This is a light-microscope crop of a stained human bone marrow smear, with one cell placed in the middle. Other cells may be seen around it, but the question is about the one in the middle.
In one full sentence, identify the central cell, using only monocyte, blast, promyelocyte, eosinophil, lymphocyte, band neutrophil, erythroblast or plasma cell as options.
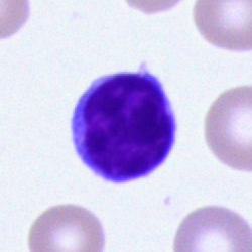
The cell shown in the center of this light-microscope crop is a lymphocyte.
